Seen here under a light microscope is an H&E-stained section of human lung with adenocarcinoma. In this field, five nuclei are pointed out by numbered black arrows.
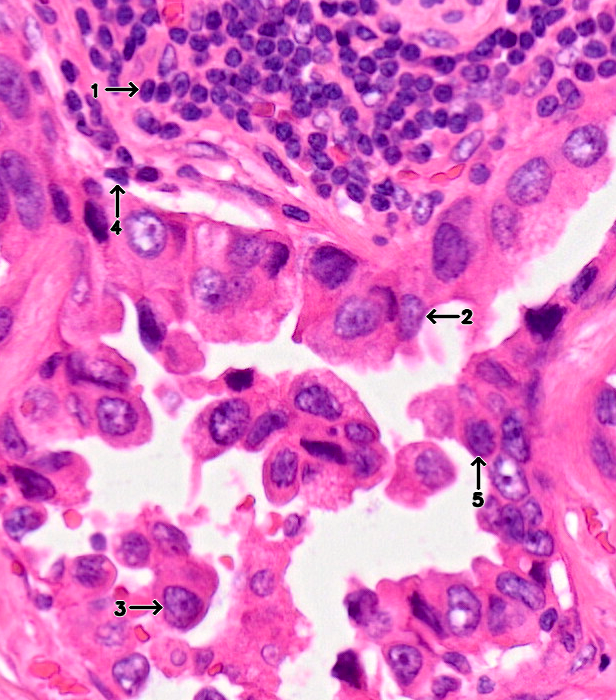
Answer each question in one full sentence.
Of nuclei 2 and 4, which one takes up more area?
The larger nucleus is 2, at roughly 3 times the area of 4.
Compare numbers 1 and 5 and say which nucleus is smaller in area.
The smaller nucleus is 1, and 5 covers roughly 3 times its area.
